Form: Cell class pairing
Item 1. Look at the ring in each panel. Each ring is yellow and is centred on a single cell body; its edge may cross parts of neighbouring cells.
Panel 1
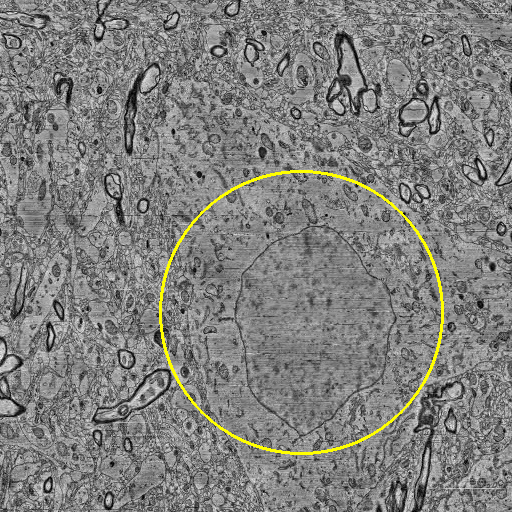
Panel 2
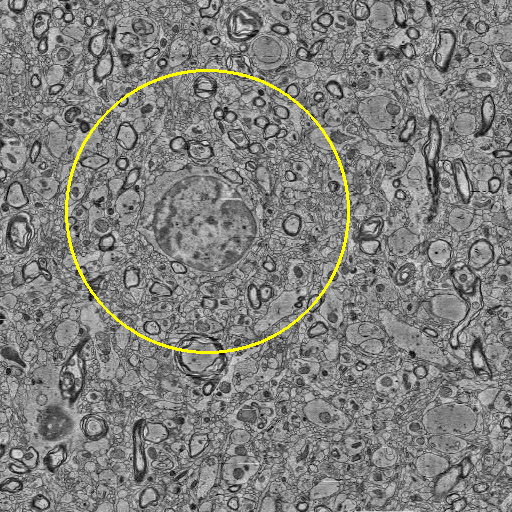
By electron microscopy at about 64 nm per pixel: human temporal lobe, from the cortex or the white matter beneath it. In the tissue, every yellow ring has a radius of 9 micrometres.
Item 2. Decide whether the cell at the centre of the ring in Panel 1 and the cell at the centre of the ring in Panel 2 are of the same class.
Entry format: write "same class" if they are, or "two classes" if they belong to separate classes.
two classes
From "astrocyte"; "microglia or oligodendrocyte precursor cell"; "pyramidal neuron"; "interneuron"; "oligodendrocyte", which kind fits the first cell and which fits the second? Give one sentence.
The cell marked in the first picture is a pyramidal neuron, and the one marked in the second is an oligodendrocyte.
